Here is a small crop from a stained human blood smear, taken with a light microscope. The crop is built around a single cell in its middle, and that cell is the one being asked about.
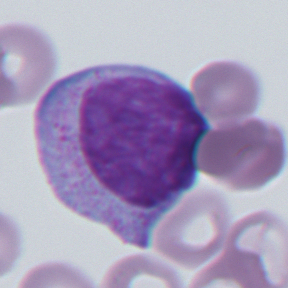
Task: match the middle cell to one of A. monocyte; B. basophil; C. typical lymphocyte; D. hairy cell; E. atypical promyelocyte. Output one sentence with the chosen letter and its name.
The cell in the middle is an atypical promyelocyte, so option E is correct.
